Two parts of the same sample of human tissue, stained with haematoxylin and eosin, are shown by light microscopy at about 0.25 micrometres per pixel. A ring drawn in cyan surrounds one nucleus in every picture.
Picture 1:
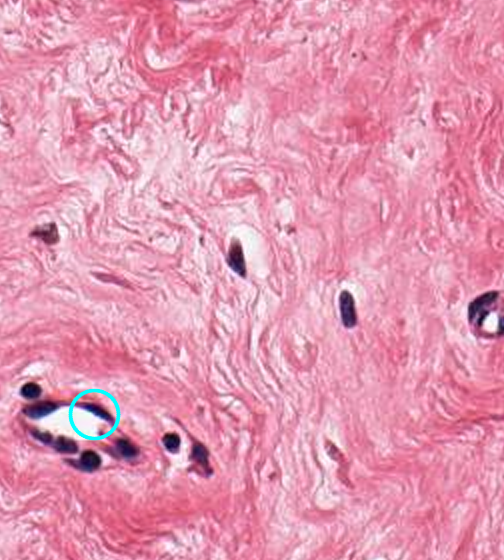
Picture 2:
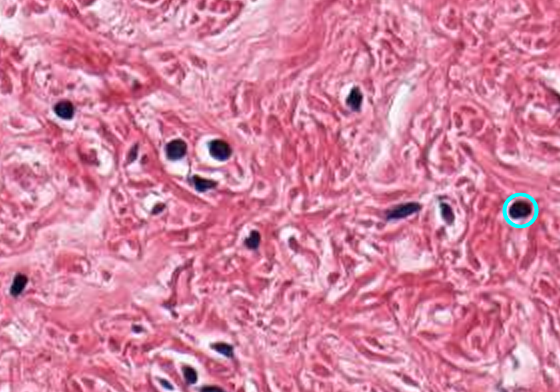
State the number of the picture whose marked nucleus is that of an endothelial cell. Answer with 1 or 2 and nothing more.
1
